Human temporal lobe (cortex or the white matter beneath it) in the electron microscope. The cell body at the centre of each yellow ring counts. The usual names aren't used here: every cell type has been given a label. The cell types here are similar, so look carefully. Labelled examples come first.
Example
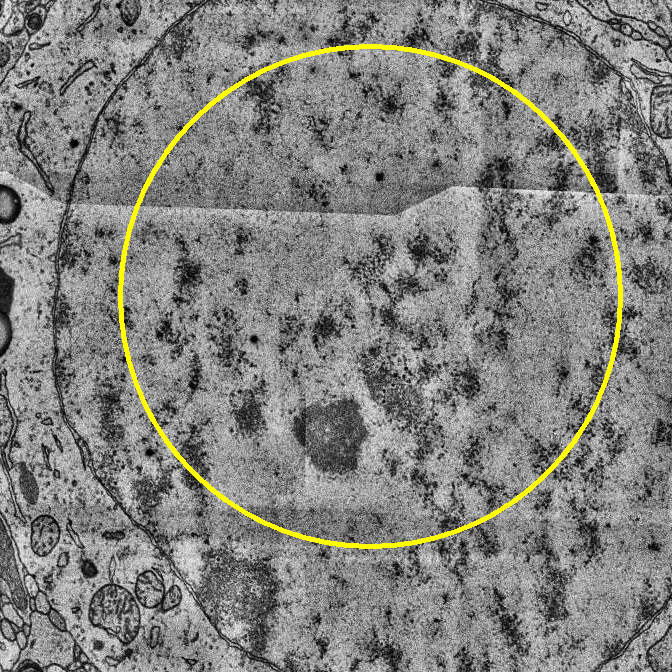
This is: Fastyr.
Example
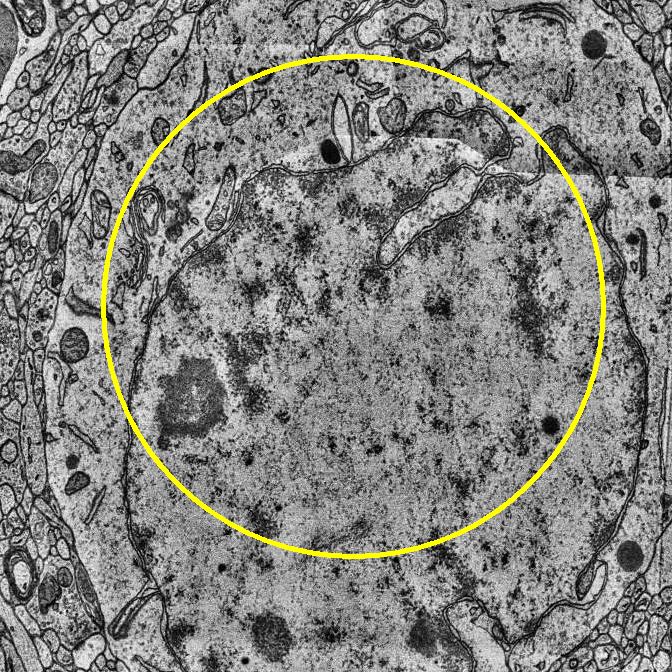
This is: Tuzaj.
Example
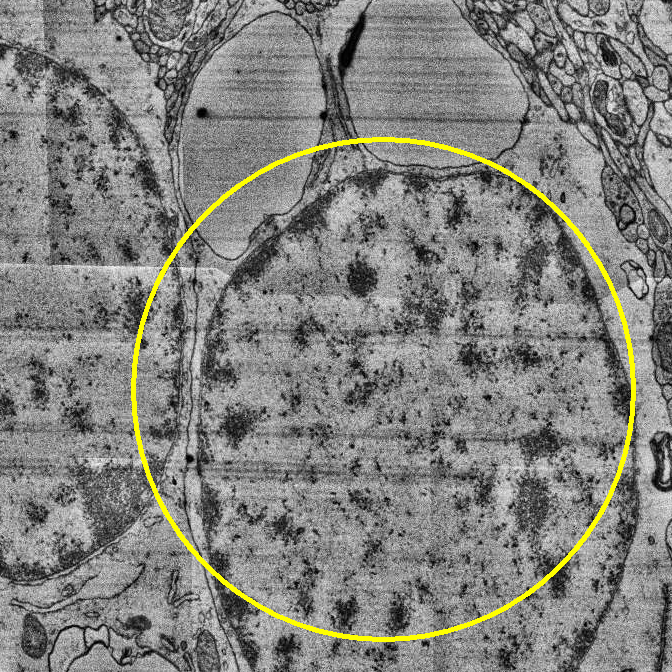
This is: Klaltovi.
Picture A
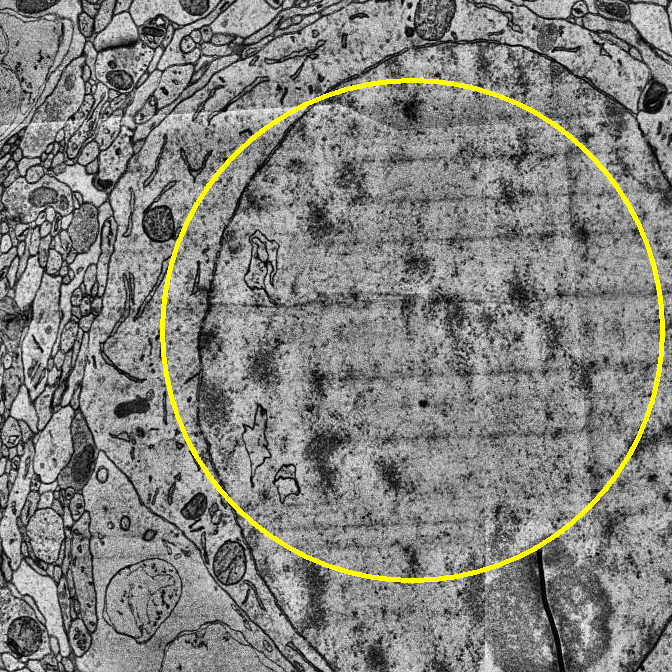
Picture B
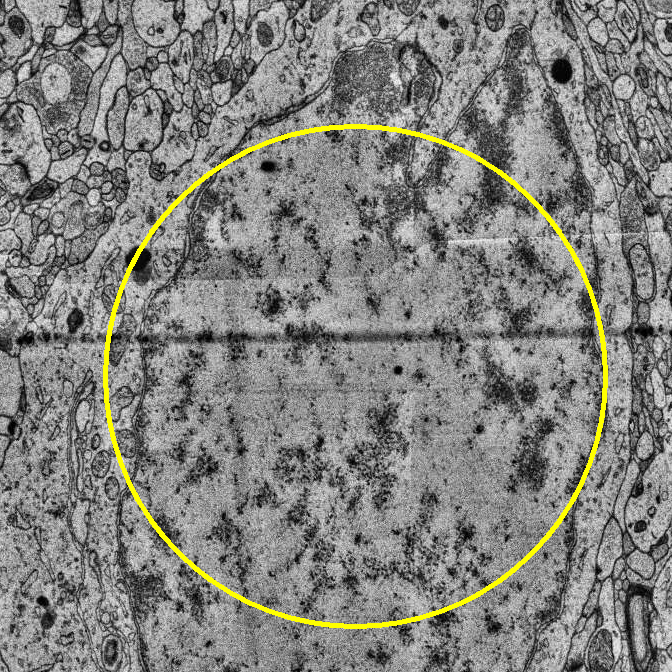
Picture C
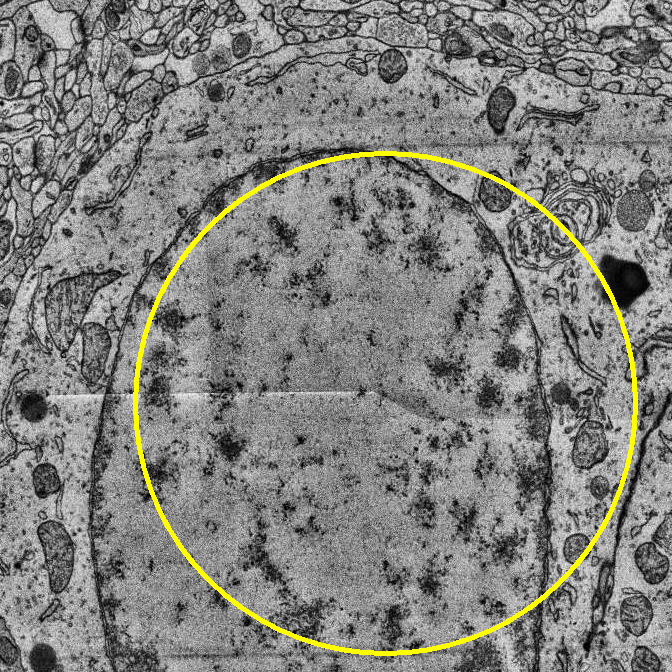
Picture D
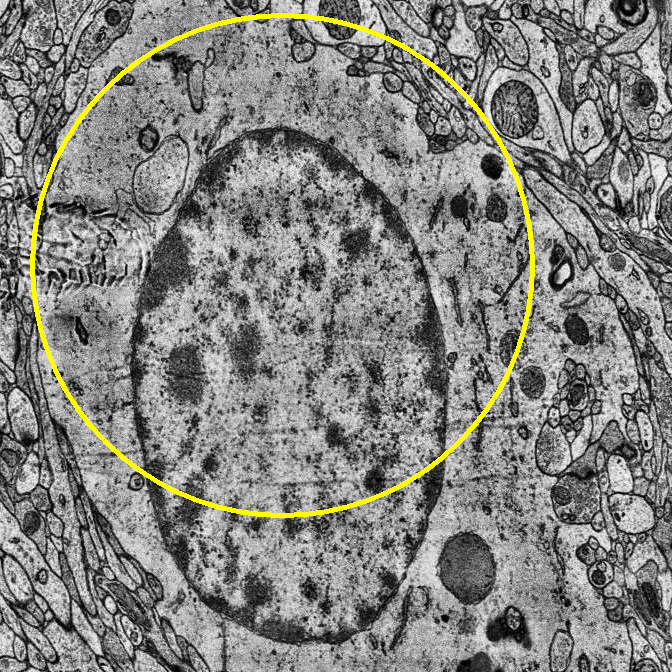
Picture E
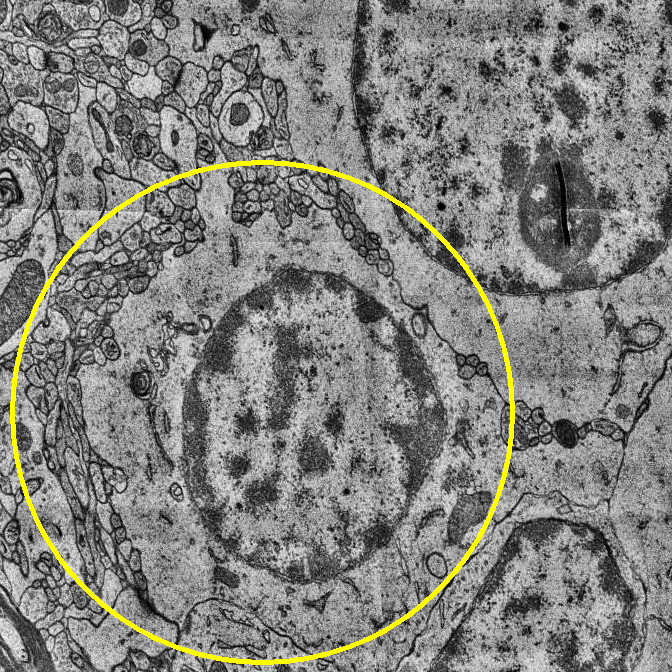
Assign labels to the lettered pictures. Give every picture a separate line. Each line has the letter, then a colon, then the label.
A: Fastyr.
B: Tuzaj.
C: Fastyr.
D: Klaltovi.
E: Klaltovi.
